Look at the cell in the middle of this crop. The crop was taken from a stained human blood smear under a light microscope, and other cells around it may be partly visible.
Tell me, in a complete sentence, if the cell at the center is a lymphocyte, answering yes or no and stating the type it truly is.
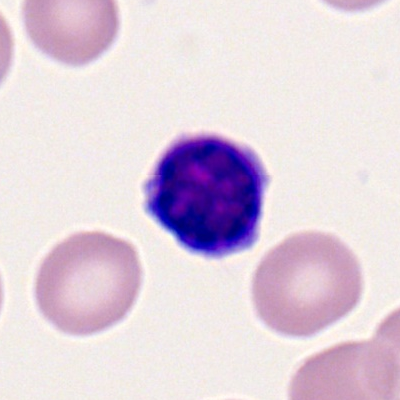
Yes, this is a lymphocyte, the cell in the middle of the crop.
